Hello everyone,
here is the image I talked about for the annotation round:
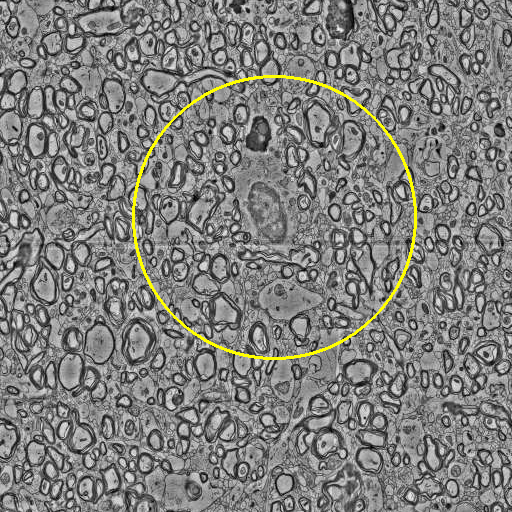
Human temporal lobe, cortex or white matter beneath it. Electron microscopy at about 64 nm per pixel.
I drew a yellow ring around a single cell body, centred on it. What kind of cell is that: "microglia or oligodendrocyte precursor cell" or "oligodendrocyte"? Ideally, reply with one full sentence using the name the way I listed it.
The cell your yellow ring is centred on is an oligodendrocyte, going by your list.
